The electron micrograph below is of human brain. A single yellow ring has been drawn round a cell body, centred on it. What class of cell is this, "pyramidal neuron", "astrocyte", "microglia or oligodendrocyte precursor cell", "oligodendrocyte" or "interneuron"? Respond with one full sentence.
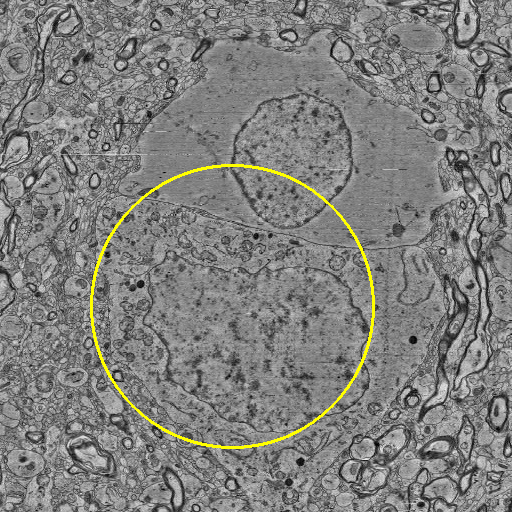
In the micrograph, the cell centred inside the yellow ring is a pyramidal neuron.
